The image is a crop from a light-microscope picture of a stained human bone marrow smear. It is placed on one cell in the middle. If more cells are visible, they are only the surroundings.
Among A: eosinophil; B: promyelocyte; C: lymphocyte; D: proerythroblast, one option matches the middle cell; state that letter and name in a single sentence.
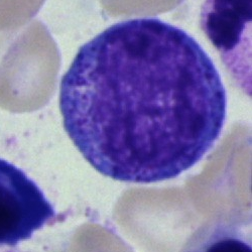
In the centre of the crop there is a promyelocyte, making option B correct.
